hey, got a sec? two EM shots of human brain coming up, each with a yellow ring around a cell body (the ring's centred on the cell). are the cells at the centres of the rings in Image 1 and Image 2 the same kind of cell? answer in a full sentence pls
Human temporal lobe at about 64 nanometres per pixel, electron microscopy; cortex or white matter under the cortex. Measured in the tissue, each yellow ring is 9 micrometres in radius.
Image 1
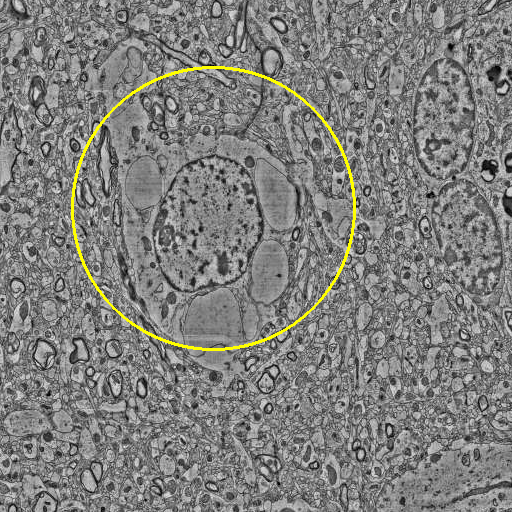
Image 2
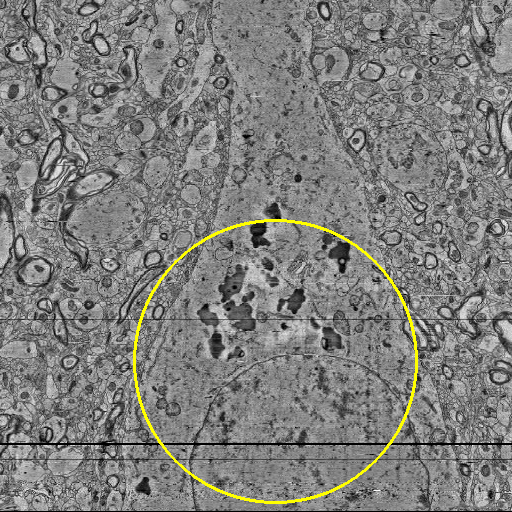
No, they are two kinds of cell.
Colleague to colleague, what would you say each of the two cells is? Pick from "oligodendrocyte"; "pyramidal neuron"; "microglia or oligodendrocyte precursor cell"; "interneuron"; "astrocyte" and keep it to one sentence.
The cell in the first picture is an astrocyte; the second picture's cell is a pyramidal neuron.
